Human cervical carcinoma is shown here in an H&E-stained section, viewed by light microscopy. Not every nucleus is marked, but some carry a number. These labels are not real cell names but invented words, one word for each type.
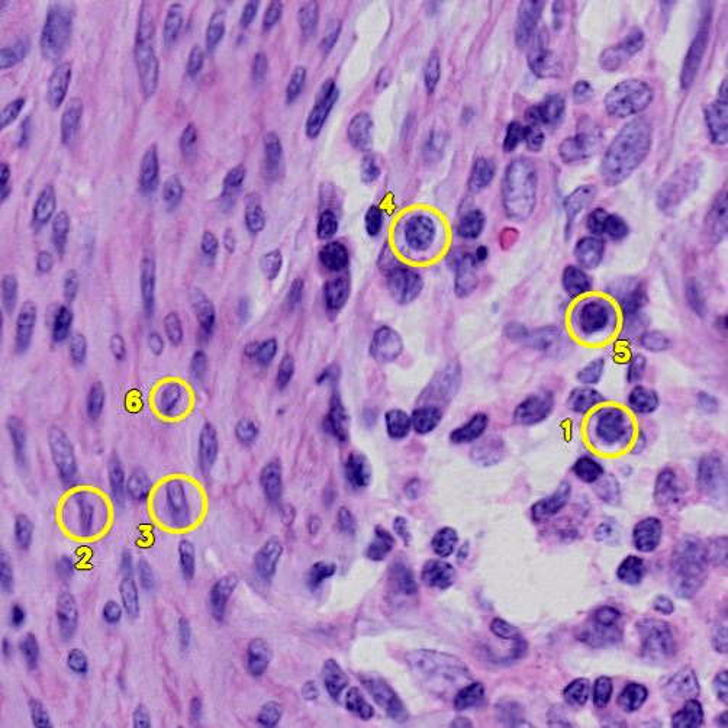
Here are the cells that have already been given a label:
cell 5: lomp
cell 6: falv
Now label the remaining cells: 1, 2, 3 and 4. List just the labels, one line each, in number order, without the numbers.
lomp
falv
falv
lomp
